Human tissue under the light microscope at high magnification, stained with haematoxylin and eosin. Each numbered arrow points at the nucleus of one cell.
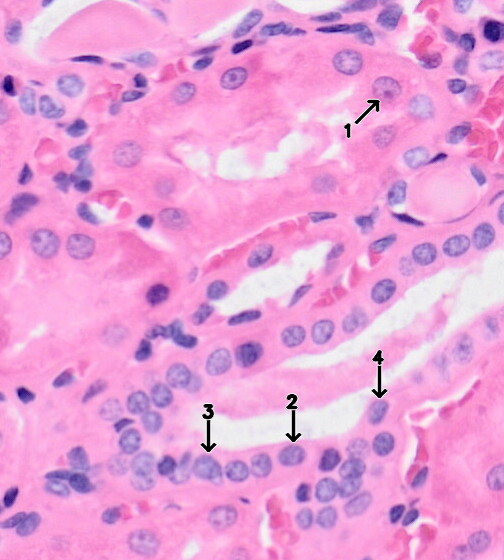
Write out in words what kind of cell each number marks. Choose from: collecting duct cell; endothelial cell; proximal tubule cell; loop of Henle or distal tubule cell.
Cell 1 is a proximal tubule cell, cell 2 is a collecting duct cell, cell 3 is a collecting duct cell and cell 4 is a collecting duct cell.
